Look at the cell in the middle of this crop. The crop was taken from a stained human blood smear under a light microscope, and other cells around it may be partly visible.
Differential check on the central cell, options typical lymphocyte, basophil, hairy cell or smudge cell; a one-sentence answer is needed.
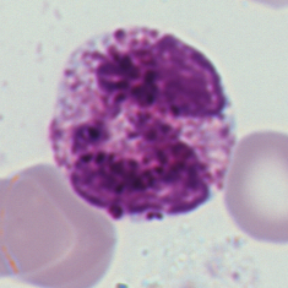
Seen at the centre of the crop is a basophil.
